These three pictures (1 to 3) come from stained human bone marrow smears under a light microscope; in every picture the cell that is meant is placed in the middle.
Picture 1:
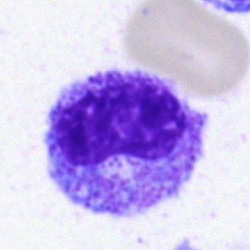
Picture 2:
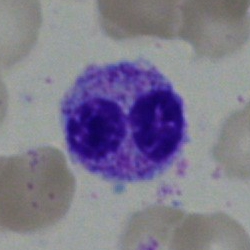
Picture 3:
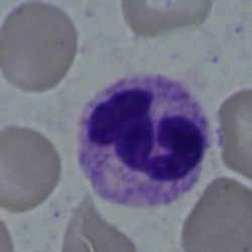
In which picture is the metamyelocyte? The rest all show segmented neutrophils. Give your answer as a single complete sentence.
It is picture 1 that shows the metamyelocyte.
